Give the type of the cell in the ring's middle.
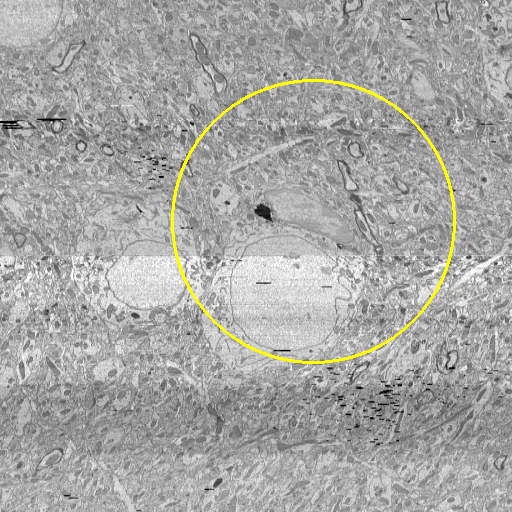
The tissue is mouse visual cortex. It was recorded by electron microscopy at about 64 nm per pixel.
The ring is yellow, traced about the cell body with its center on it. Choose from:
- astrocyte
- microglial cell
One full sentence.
Here, a microglial cell is the cell lying at the center of the yellow ring.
